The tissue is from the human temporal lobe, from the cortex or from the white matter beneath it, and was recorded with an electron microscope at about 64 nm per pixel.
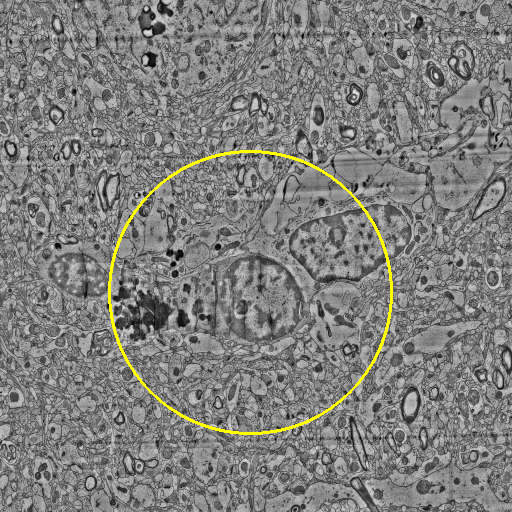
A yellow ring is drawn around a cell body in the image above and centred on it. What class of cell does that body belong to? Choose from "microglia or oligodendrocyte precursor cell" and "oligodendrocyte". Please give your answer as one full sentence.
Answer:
The yellow ring above is centred on the cell body of an oligodendrocyte.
